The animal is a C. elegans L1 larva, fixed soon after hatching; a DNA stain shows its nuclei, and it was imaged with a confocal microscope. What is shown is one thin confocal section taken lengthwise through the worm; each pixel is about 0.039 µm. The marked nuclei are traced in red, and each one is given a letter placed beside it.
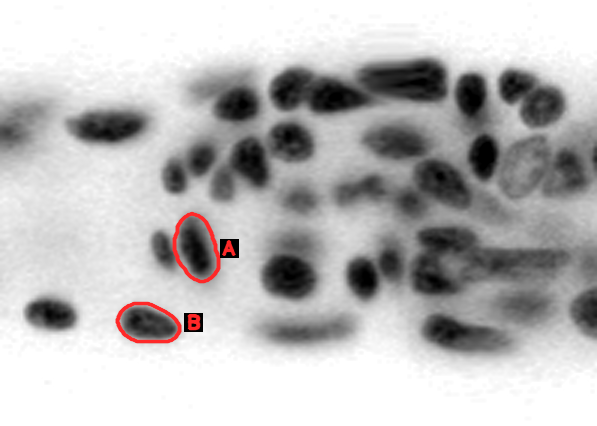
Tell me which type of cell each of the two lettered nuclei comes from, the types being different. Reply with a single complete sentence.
A belongs to a valve cell of the gut and B to a body wall muscle cell.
